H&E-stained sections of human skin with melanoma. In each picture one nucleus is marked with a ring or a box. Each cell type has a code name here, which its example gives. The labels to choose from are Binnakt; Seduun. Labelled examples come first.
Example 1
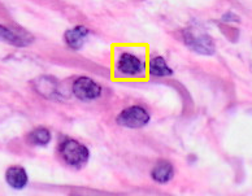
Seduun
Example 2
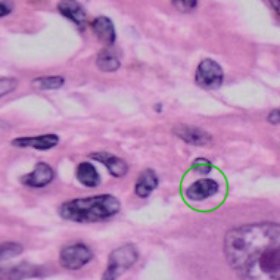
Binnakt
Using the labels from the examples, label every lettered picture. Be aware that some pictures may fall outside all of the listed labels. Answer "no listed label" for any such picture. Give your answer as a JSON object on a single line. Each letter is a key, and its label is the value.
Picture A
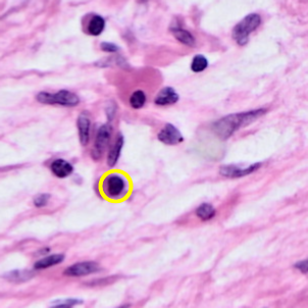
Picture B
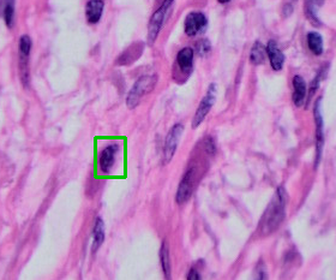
{"A": "Seduun", "B": "Seduun"}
